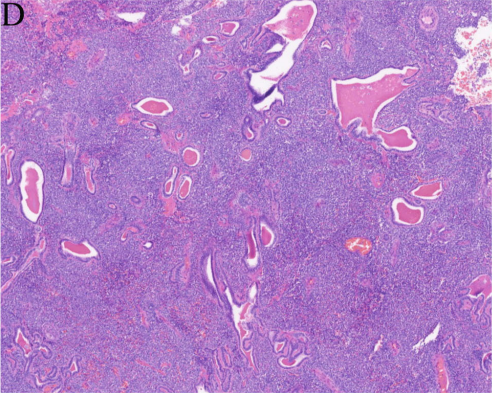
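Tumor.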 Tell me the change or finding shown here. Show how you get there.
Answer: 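Several widened, irregular or slit-shaped lumens within a dense cellular field. So: cystic dilatation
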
